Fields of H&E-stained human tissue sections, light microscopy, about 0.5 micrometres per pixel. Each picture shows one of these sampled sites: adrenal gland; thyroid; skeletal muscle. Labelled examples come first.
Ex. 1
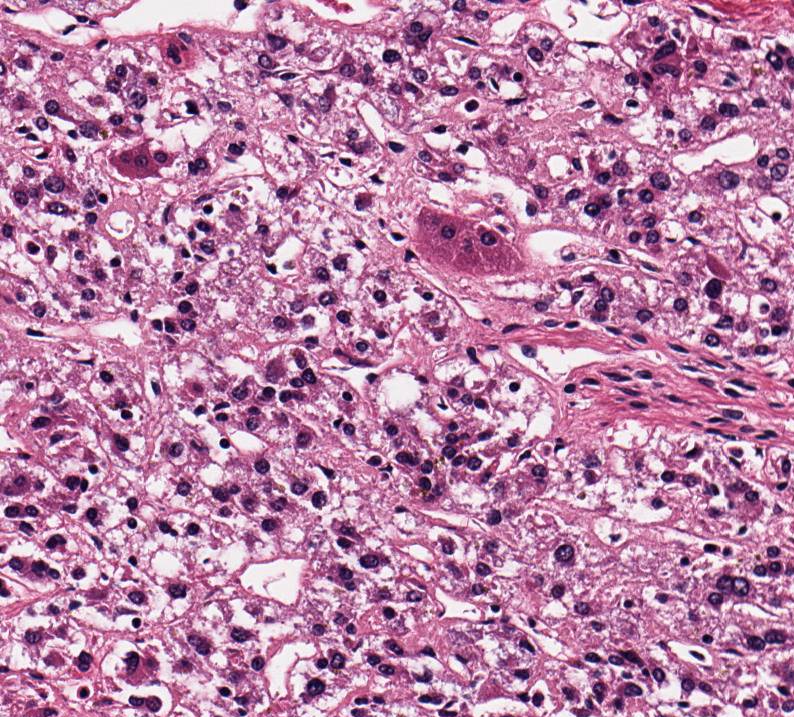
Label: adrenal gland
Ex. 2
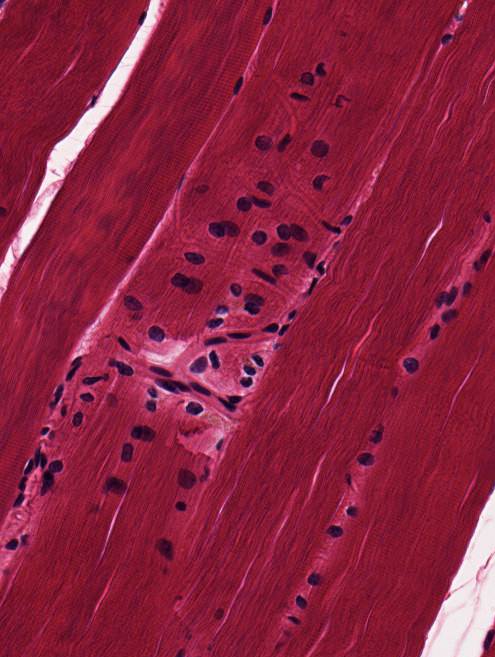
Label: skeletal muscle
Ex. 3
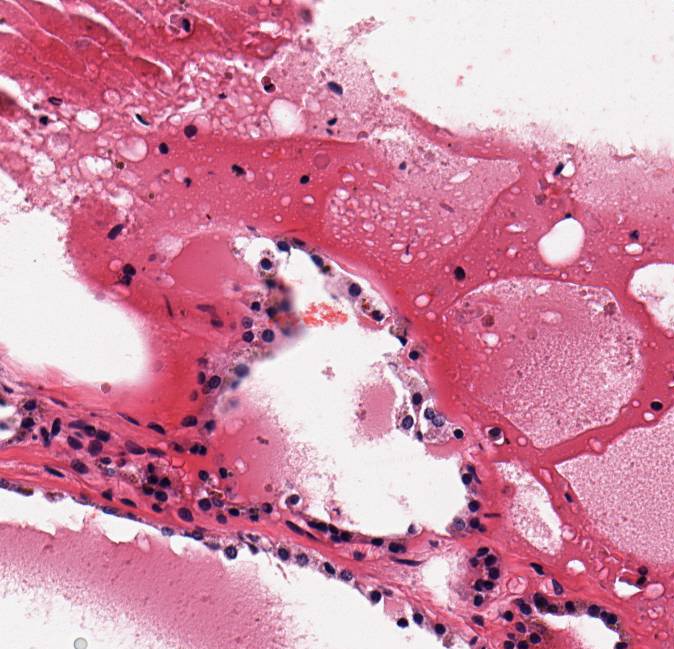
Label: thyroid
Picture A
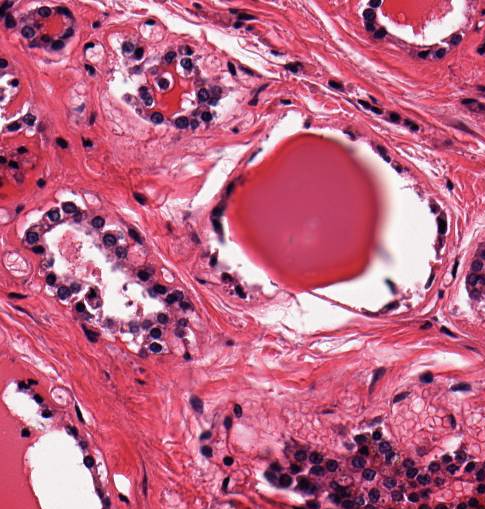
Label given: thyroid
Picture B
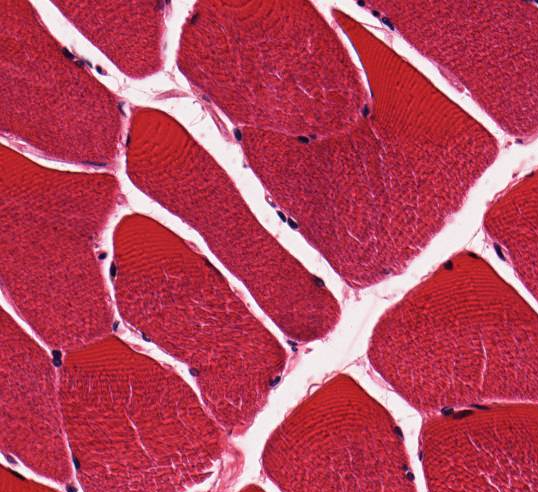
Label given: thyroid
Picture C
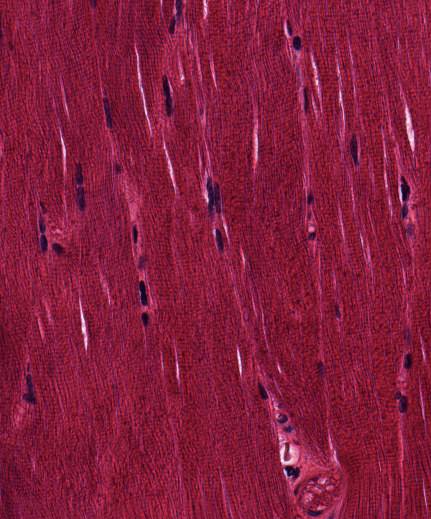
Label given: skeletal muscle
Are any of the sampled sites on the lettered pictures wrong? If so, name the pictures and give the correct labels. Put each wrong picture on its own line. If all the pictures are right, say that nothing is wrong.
Wrong: B (thyroid); correct: skeletal muscle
